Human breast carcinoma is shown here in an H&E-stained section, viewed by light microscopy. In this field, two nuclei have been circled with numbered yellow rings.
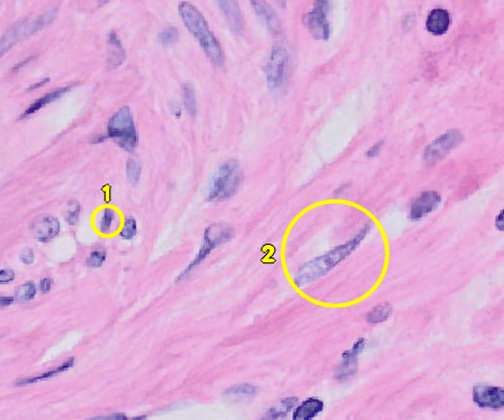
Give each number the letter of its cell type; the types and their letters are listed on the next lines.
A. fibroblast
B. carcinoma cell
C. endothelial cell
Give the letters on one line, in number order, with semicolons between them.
C; A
